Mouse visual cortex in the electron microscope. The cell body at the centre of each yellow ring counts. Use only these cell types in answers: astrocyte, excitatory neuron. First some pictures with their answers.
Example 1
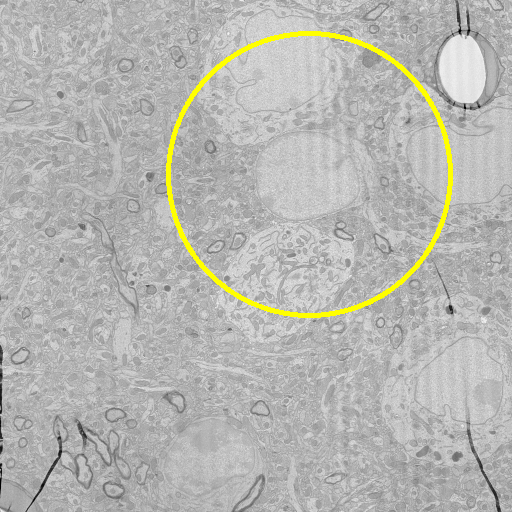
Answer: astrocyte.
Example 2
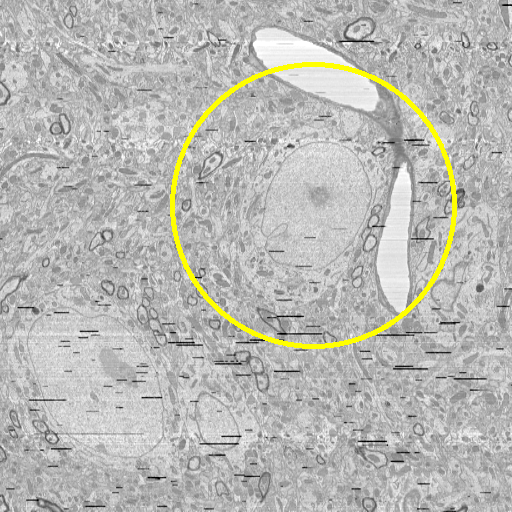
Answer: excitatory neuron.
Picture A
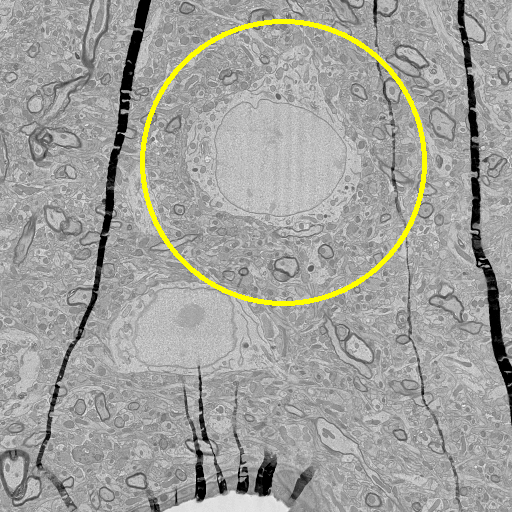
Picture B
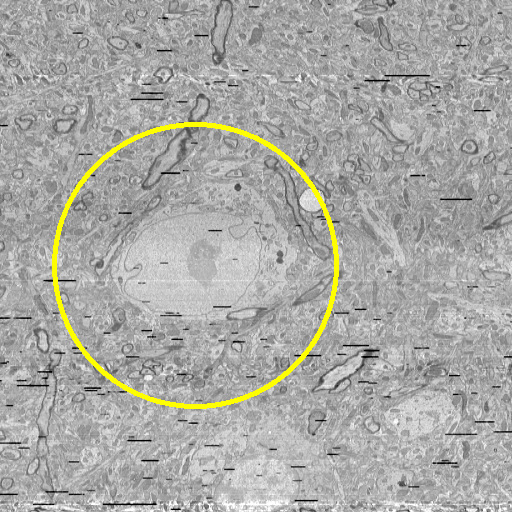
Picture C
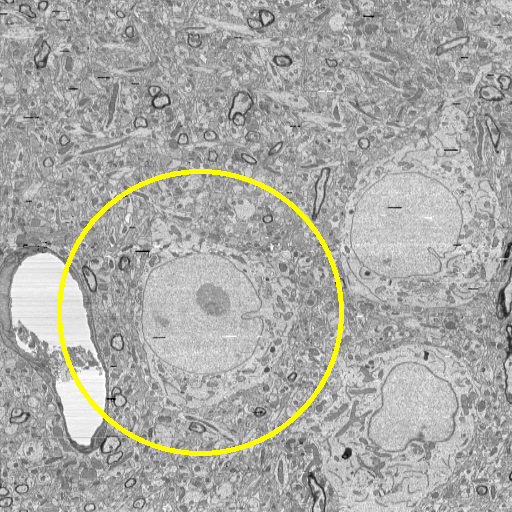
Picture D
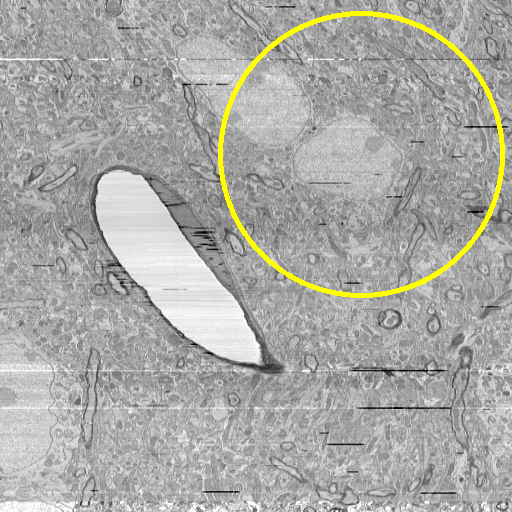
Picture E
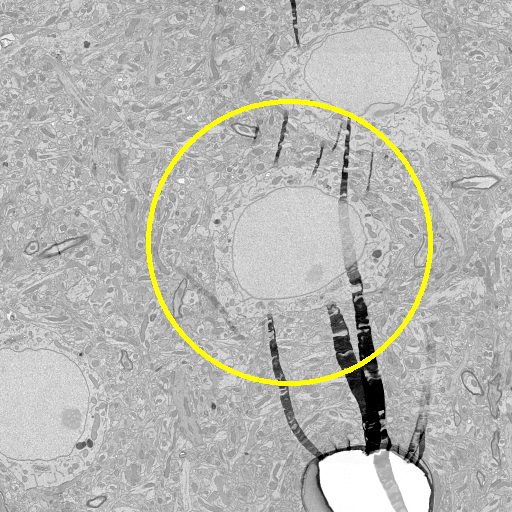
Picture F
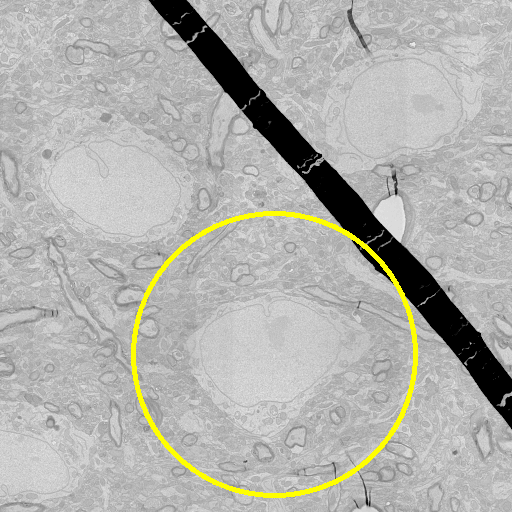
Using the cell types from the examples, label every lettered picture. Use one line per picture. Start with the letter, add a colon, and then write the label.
A: excitatory neuron.
B: excitatory neuron.
C: excitatory neuron.
D: astrocyte.
E: excitatory neuron.
F: excitatory neuron.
